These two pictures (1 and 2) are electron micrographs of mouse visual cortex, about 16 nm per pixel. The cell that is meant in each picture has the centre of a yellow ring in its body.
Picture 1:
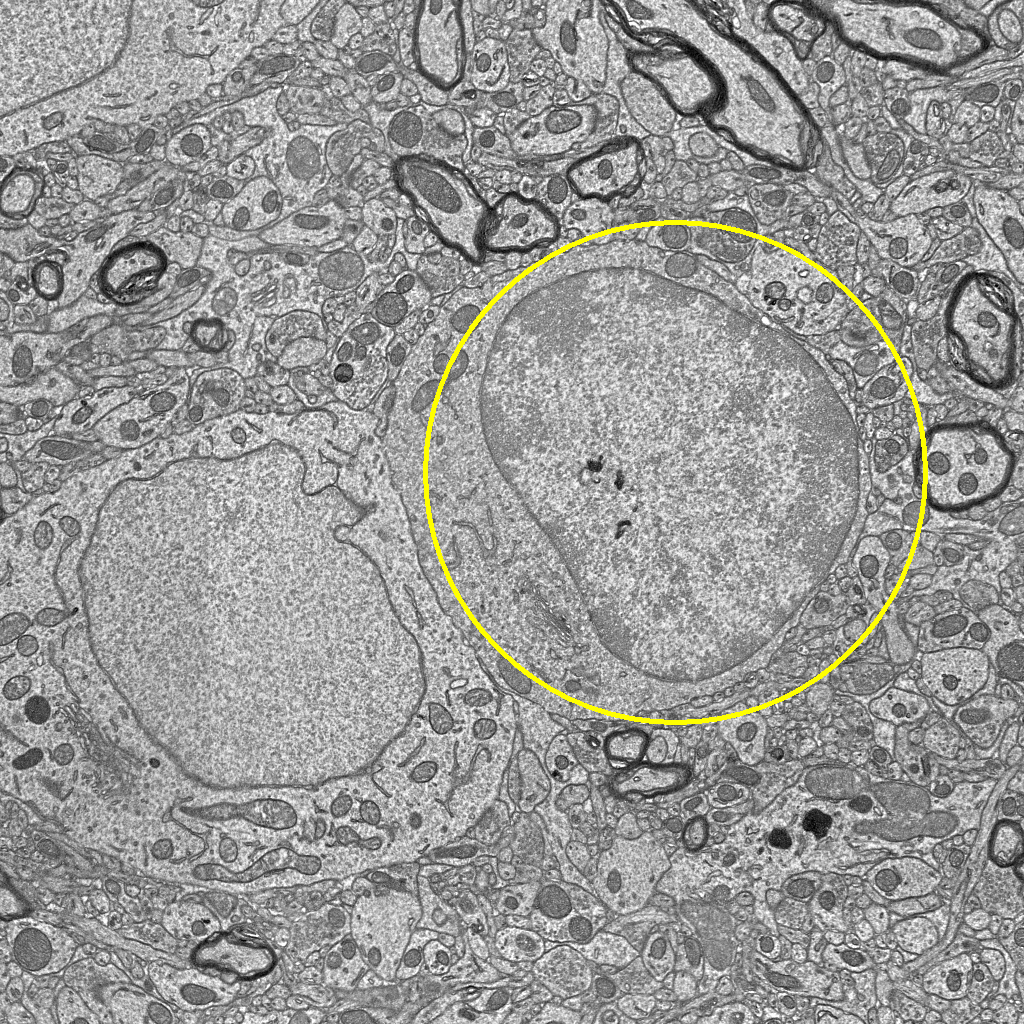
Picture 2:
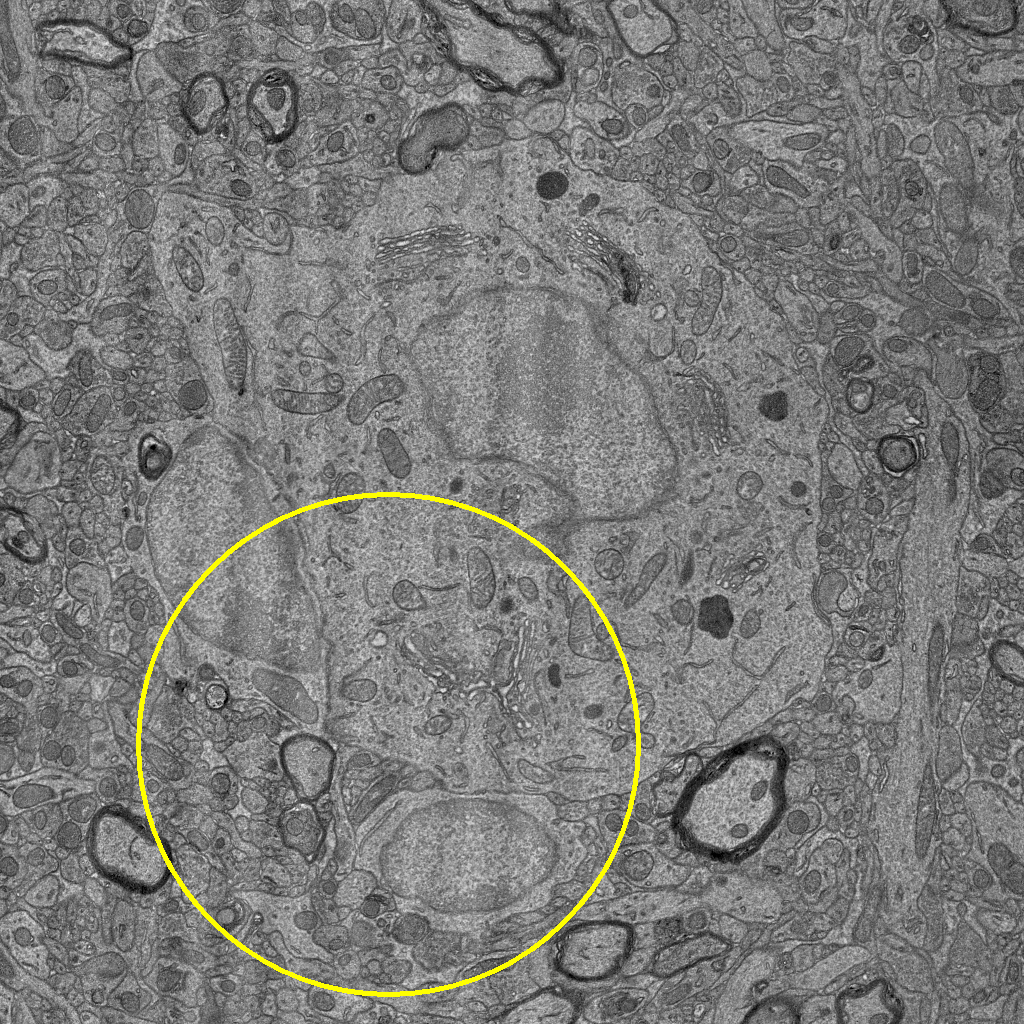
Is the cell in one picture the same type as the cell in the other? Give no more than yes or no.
yes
